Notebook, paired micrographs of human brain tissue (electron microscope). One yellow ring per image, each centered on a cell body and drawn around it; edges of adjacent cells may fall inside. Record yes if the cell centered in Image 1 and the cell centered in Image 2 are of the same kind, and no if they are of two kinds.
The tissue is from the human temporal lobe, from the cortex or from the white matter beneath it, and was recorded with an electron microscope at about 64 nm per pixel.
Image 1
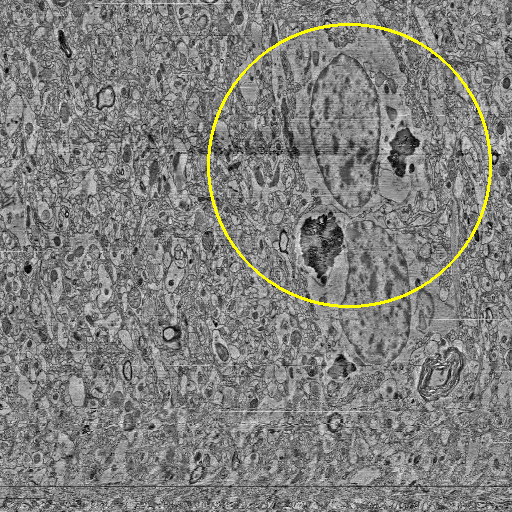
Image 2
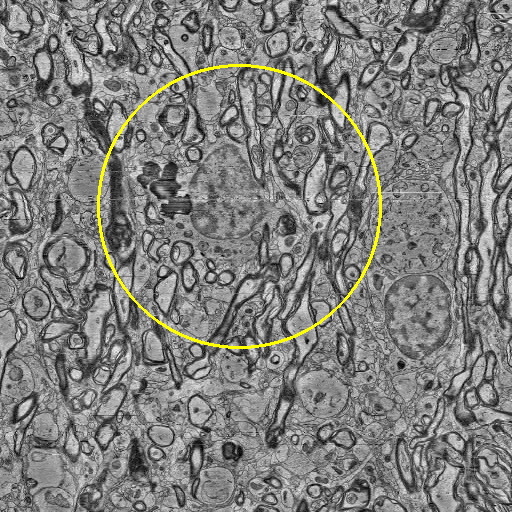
no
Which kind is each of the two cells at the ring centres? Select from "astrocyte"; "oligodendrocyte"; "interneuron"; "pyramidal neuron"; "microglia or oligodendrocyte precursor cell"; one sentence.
The cell at the centre of the ring is an astrocyte in the first picture and an oligodendrocyte in the second.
